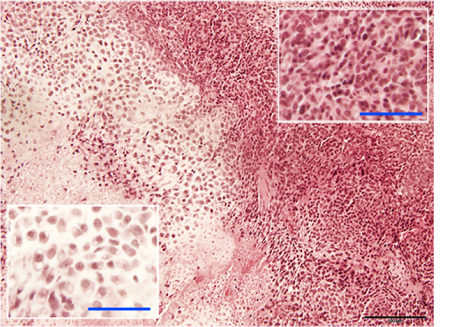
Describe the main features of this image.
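Tumor tissue showing two distinct components: on the left a pale area of mature cartilage with cells lying singly in lacunae within a light matrix, and on the right a dense sheet of small round cells with dark oval nuclei and scant cytoplasm. The two components abut along a fairly sharp boundary, the cellular area staining much darker pink-purple than the cartilaginous area.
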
